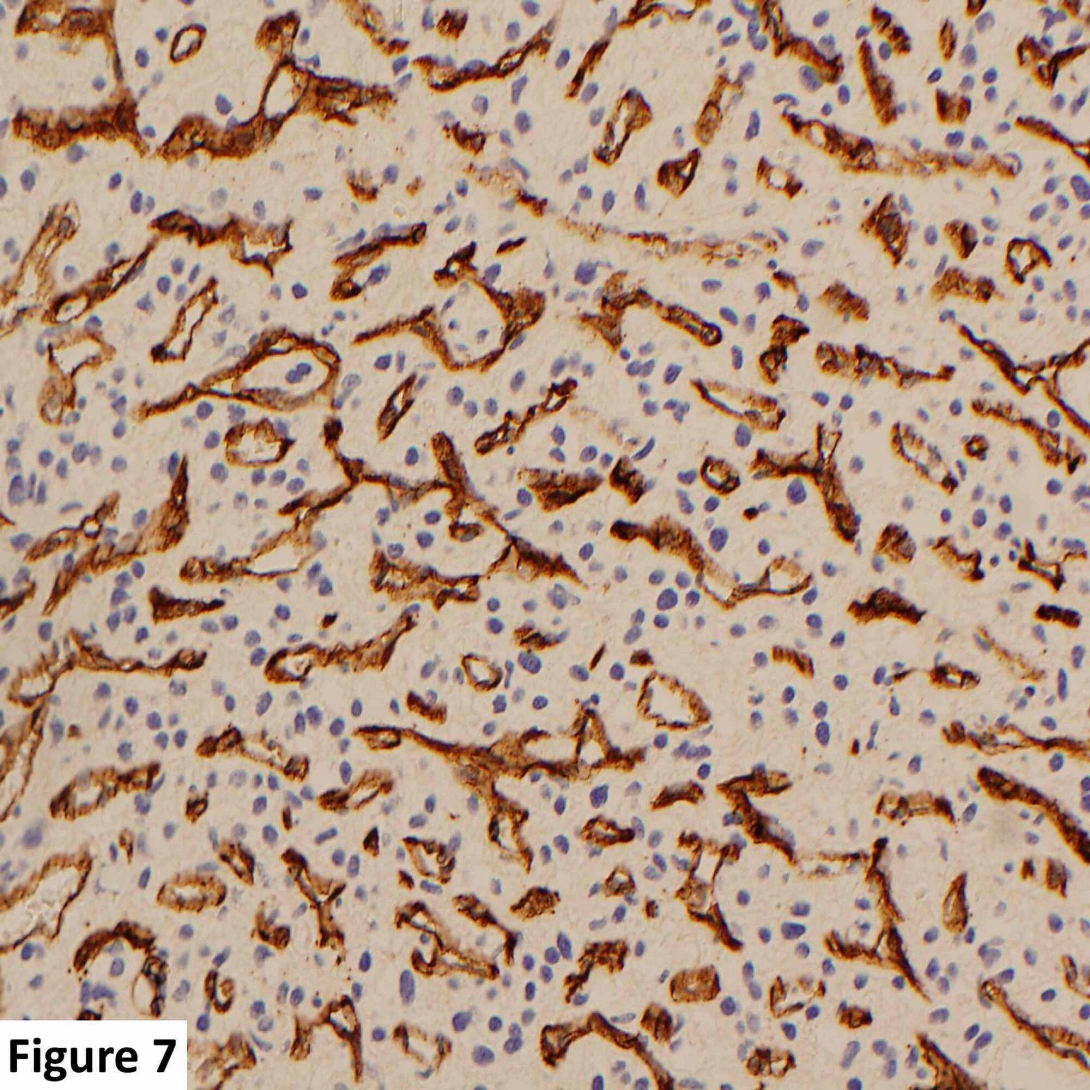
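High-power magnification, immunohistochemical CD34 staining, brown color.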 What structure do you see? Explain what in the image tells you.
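Numerous closely spaced brown-lined channels run throughout the field. Channels branch and interconnect, some elongated and others round in cross-section.
Conclusion: rich vascular network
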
